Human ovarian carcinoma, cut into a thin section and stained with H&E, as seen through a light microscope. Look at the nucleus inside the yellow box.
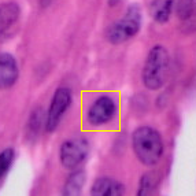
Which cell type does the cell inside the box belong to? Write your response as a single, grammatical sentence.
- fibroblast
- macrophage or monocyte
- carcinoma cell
With respect to cell type, the cell inside the box is a macrophage or monocyte.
